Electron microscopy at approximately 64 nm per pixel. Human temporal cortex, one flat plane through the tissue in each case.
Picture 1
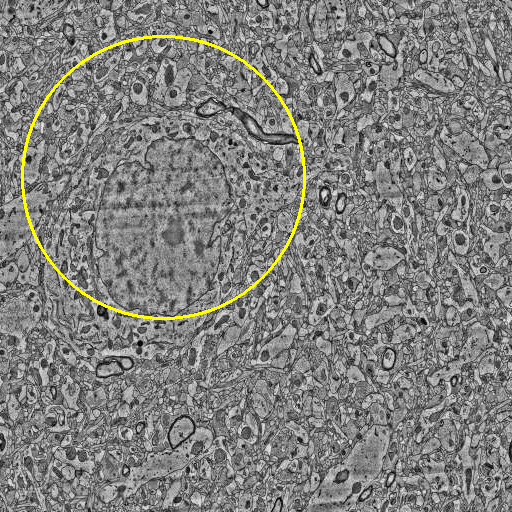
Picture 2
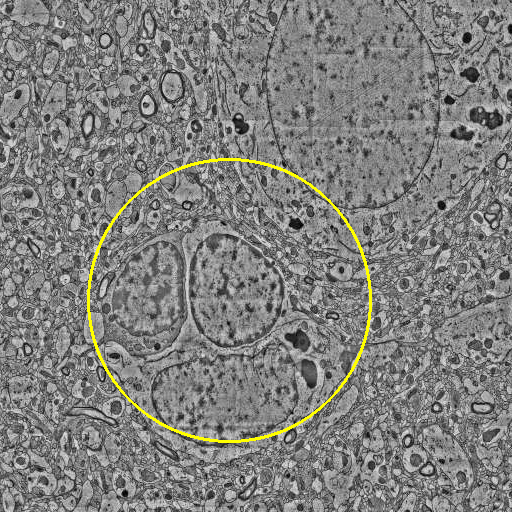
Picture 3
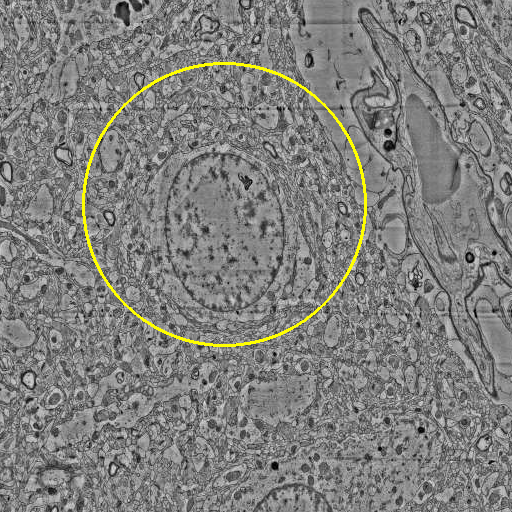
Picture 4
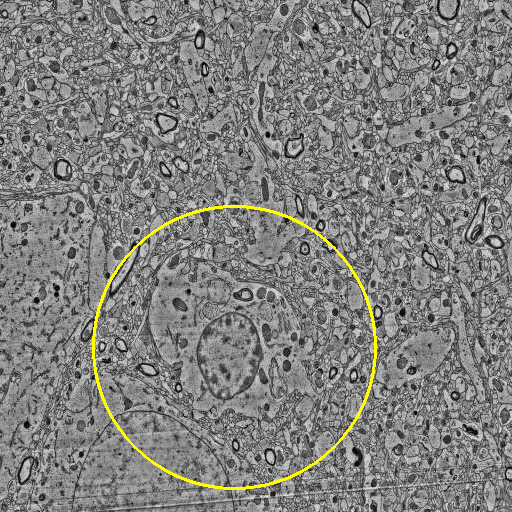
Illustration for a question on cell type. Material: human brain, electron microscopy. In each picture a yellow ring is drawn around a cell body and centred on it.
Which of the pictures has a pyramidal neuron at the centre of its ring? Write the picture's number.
3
